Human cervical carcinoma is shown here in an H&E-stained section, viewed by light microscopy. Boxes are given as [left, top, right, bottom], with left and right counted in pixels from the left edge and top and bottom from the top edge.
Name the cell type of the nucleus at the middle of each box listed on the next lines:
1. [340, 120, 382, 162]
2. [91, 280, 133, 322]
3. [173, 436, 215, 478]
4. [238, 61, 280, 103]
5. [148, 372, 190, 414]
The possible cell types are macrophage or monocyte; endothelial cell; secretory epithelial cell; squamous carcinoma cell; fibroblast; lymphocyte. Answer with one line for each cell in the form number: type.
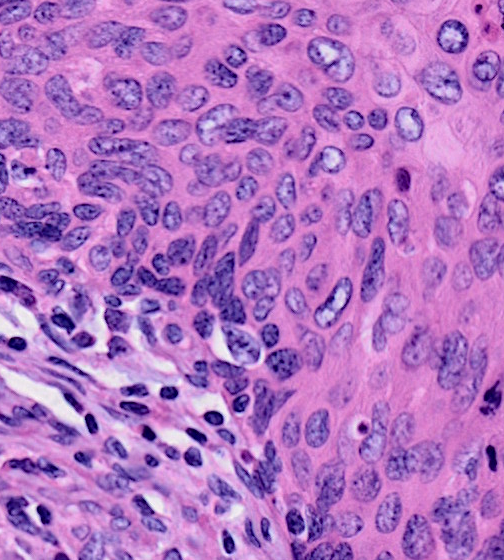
1: squamous carcinoma cell
2: lymphocyte
3: lymphocyte
4: squamous carcinoma cell
5: lymphocyte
